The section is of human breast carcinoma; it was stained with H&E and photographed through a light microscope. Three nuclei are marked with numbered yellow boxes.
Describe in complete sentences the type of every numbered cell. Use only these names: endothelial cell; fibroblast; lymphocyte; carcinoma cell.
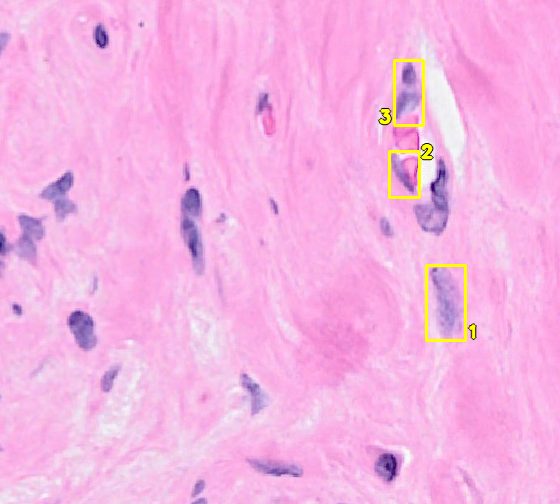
Cell 1 is a fibroblast, cell 2 is an endothelial cell and cell 3 is an endothelial cell.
